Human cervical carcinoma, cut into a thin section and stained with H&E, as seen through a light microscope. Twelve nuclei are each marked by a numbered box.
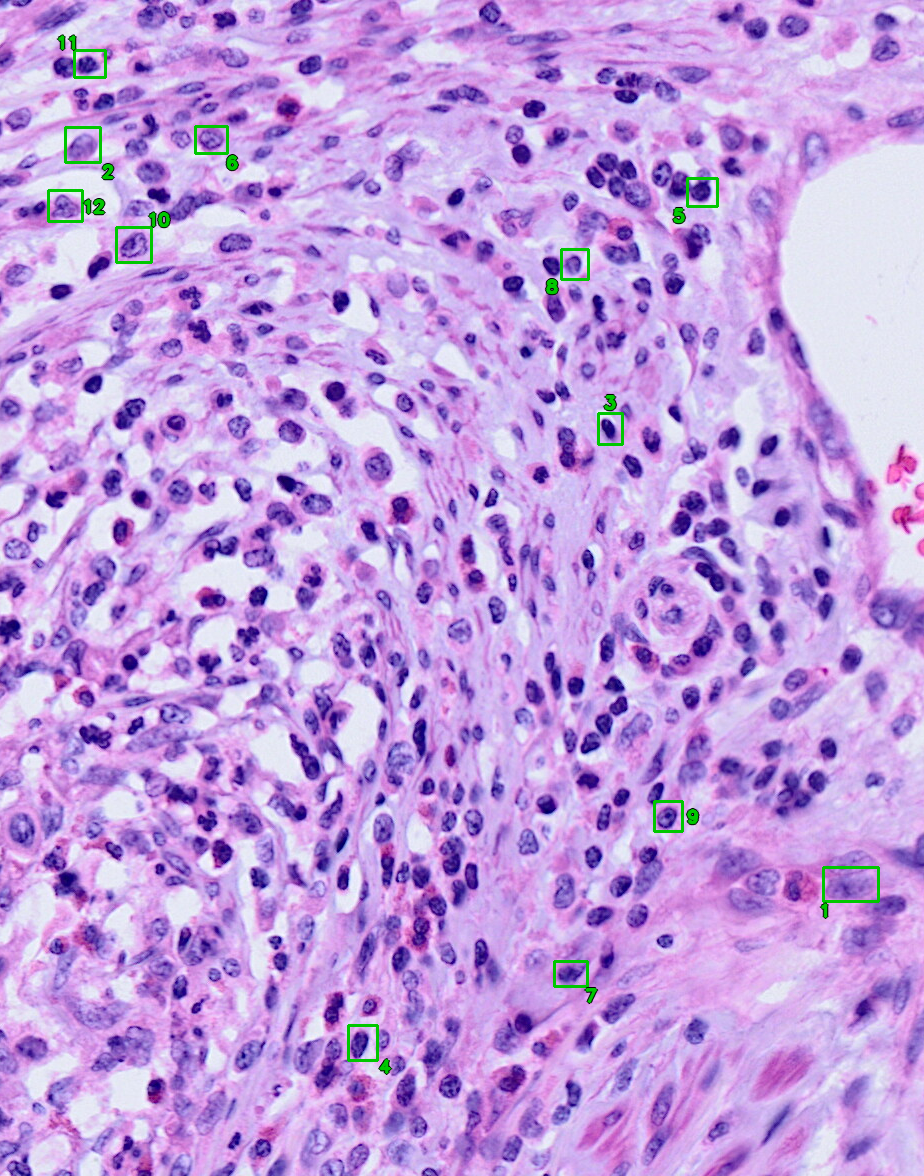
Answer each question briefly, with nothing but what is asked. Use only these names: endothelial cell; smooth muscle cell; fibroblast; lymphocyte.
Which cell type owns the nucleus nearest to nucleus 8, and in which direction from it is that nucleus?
a lymphocyte; to the left of nucleus 8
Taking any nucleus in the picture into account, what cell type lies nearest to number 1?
endothelial cell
